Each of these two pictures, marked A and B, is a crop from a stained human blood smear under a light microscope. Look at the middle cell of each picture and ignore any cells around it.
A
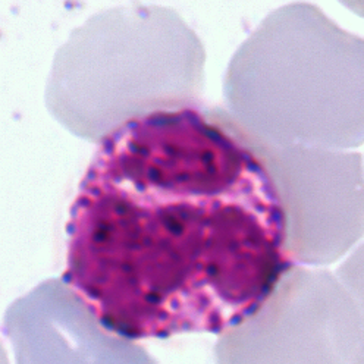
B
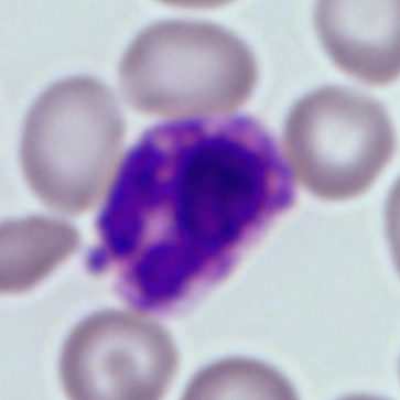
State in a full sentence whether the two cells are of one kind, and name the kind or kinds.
Yes, the central cells of both crops are basophils.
